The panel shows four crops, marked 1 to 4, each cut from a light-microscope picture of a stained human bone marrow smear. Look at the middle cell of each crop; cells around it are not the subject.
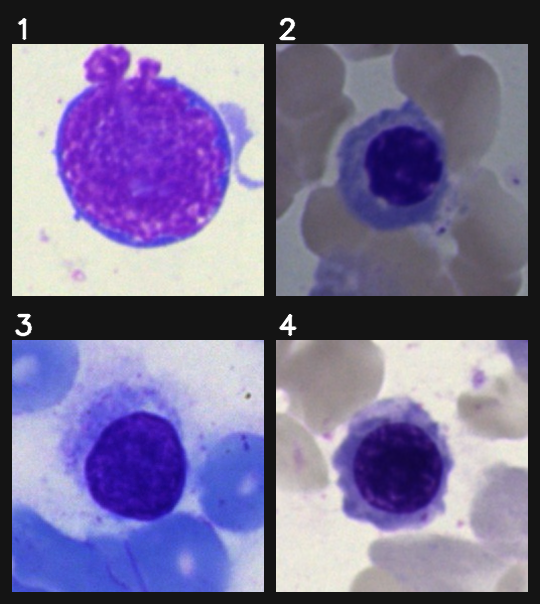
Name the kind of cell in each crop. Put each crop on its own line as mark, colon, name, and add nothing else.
1: blast
2: erythroblast
3: hairy cell
4: erythroblast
